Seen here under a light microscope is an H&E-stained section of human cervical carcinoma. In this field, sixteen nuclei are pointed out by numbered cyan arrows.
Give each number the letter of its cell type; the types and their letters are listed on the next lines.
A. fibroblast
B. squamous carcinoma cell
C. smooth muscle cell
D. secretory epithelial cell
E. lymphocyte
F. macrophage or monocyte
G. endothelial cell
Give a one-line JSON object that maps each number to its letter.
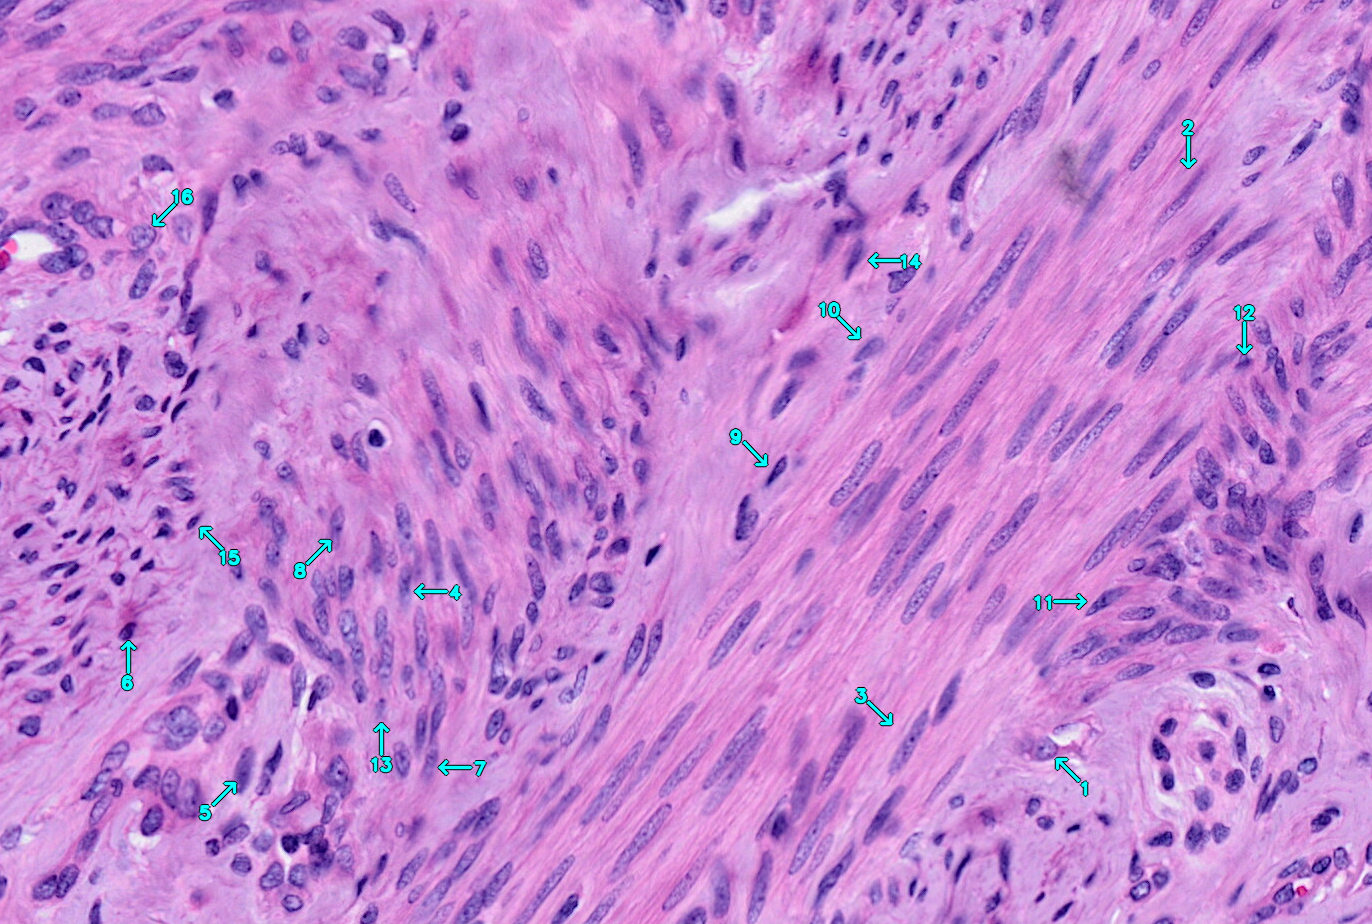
{"1": "G", "2": "C", "3": "A", "4": "C", "5": "A", "6": "C", "7": "C", "8": "C", "9": "A", "10": "A", "11": "C", "12": "C", "13": "C", "14": "A", "15": "C", "16": "G"}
